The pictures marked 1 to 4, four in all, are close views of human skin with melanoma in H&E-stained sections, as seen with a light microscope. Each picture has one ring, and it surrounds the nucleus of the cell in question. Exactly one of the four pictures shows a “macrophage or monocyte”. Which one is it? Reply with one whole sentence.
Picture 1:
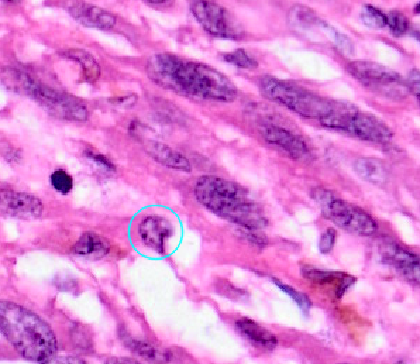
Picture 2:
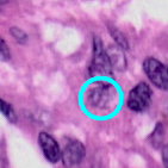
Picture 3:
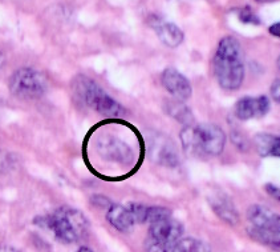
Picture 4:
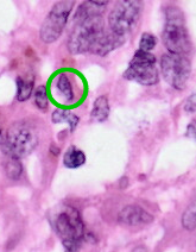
Picture 4 is the one that shows the “macrophage or monocyte”.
